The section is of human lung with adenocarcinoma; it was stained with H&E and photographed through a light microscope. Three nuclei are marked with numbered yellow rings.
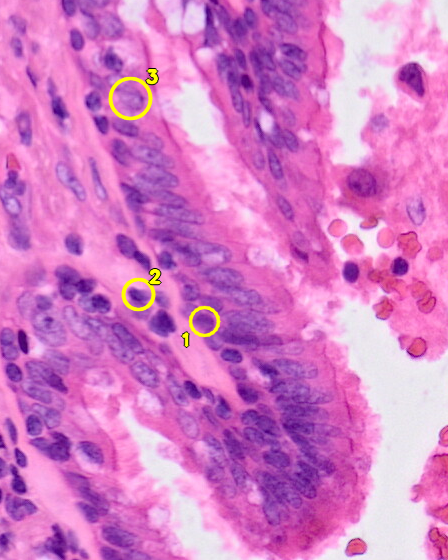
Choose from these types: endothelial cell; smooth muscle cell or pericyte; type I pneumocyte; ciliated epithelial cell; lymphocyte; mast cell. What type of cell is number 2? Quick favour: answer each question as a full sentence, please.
Regarding cell 2, this one is a lymphocyte.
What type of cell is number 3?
Belonging to a ciliated epithelial cell is the nucleus that carries the number 3.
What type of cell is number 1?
The cell referenced by the number 1 is a ciliated epithelial cell in this field.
